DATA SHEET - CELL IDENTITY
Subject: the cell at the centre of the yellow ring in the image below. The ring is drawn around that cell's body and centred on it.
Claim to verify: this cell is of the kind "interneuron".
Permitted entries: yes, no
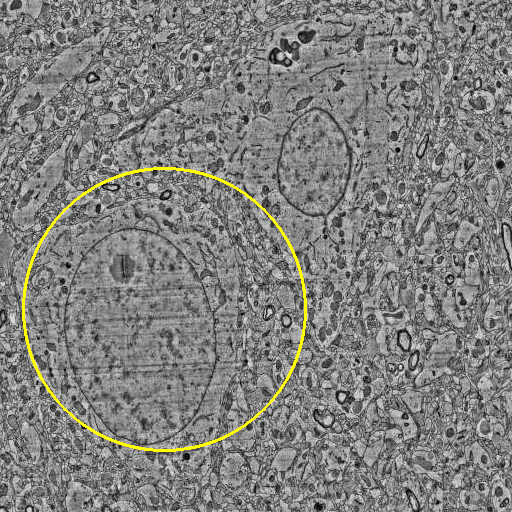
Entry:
no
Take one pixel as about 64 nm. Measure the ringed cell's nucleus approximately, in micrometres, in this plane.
In this plane, the nucleus of the cell at the centre of the ring measures about 14 by 10 micrometres.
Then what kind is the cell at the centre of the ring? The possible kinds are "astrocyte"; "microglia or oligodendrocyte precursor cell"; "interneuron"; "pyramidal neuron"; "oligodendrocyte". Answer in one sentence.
The ring holds a pyramidal neuron at its centre.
